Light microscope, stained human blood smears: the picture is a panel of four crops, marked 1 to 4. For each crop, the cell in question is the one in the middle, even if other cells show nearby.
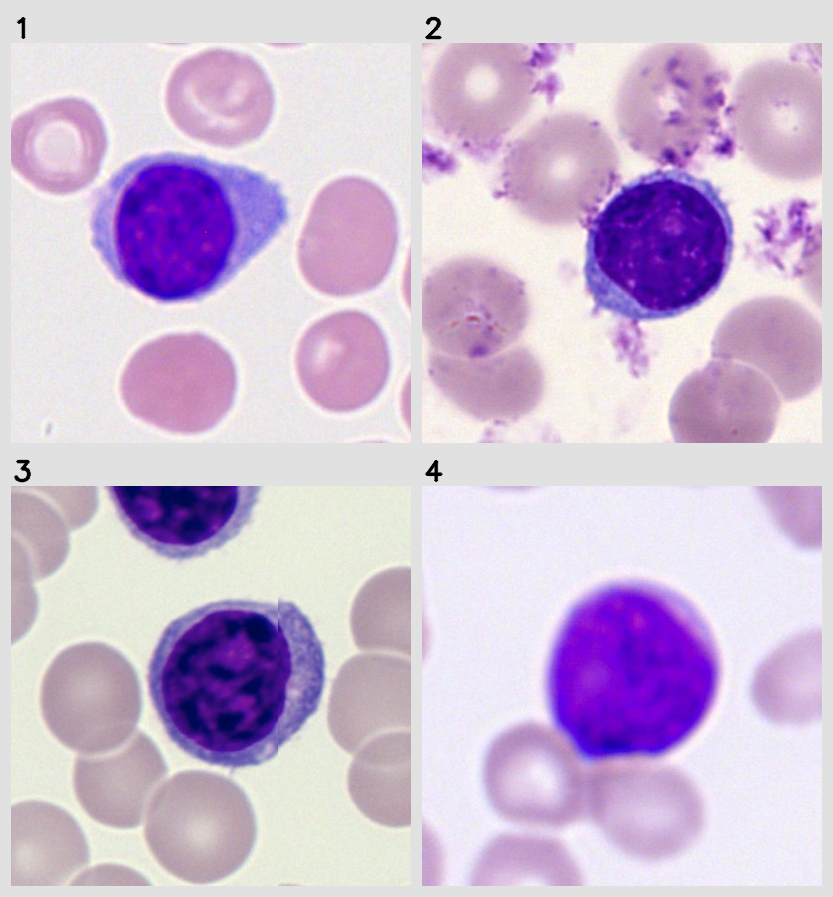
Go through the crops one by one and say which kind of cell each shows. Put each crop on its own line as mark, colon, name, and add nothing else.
1: lymphocyte
2: lymphocyte
3: lymphocyte
4: myeloblast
